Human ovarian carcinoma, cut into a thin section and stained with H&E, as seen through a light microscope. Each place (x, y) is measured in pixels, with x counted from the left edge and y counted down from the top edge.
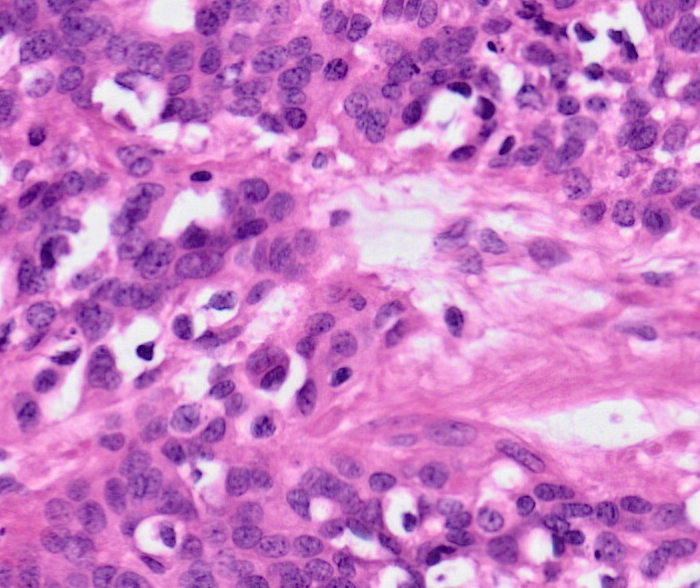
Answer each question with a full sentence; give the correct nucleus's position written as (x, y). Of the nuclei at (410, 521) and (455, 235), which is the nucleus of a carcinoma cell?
Assigned to a carcinoma cell is the nucleus located at (410, 521).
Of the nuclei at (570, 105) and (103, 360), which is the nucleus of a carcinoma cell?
It is the nucleus at (103, 360) that forms part of a carcinoma cell.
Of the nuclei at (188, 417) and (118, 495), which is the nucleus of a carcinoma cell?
It is the nucleus at (118, 495) that forms part of a carcinoma cell.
